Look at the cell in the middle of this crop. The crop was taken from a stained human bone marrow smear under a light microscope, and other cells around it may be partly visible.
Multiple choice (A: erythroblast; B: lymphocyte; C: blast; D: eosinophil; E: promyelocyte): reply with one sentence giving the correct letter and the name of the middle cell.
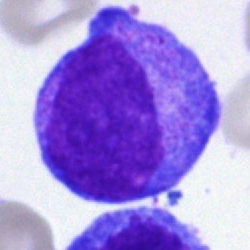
The one cell at the centre is a promyelocyte, as correctly stated in option E.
